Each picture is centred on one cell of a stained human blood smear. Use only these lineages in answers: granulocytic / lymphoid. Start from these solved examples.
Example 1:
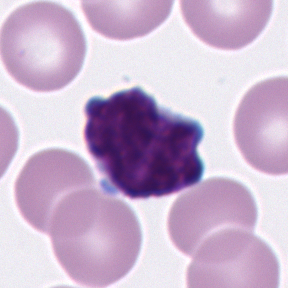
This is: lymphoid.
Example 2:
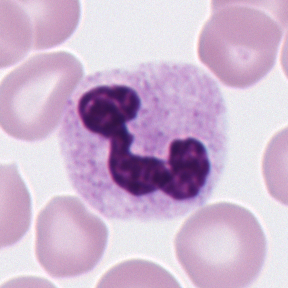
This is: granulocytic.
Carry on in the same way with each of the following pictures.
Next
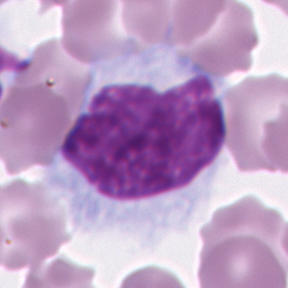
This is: lymphoid.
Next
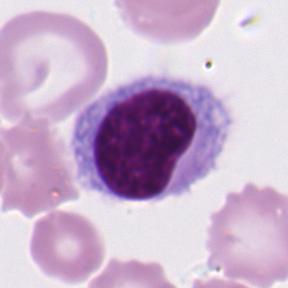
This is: lymphoid.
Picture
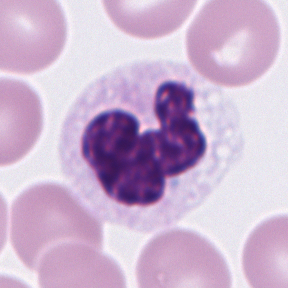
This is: granulocytic.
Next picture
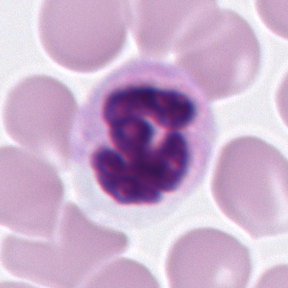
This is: granulocytic.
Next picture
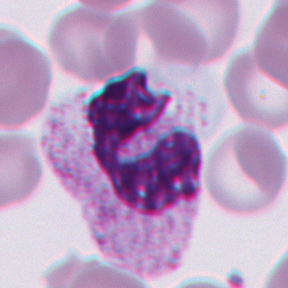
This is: granulocytic.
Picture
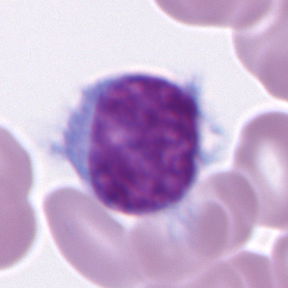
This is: lymphoid.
